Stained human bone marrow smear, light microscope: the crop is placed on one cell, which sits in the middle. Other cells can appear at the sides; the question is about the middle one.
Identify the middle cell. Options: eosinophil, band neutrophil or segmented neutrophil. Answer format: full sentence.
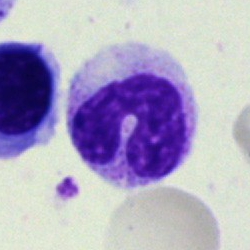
Answering briefly, the cell in the middle is a band neutrophil.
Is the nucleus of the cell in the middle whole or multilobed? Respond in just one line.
The nucleus is one compact mass, round, oval or kidney-shaped in outline.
